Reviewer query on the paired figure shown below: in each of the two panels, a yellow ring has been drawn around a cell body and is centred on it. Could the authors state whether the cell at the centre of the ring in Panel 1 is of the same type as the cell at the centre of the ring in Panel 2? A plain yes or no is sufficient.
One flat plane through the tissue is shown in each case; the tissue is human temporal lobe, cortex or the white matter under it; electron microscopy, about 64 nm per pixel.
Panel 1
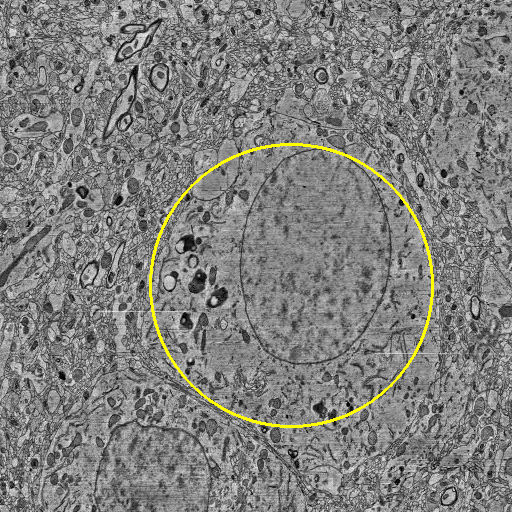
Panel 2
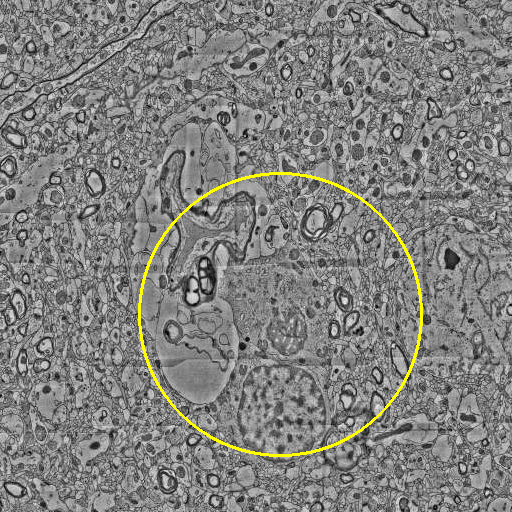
no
